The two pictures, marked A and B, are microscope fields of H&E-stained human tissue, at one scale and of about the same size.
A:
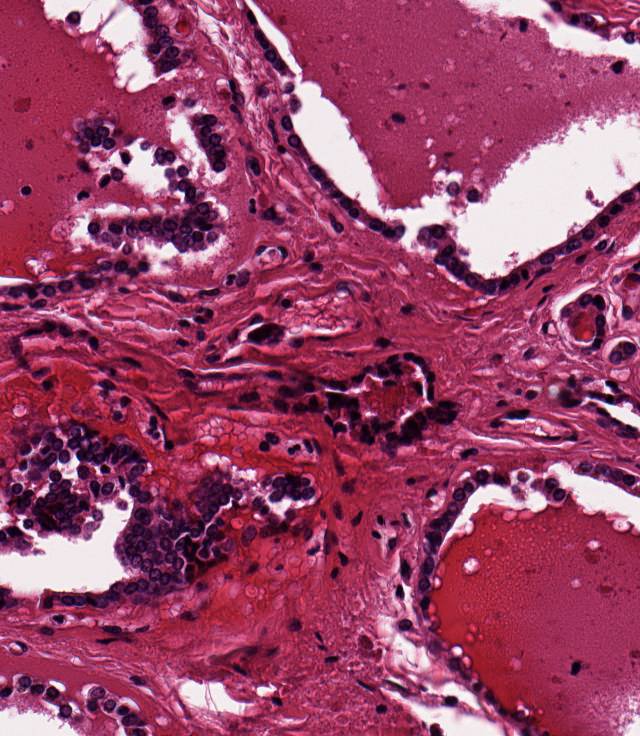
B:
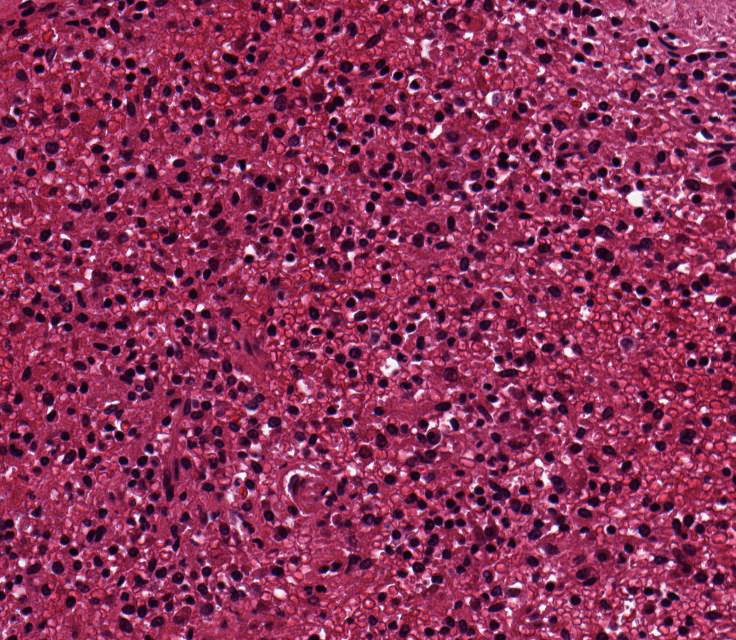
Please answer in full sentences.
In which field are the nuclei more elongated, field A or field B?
On the whole the nuclei of field A are more drawn out than those of field B.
